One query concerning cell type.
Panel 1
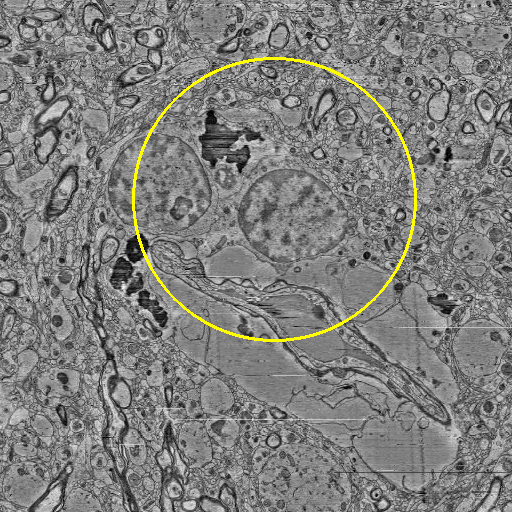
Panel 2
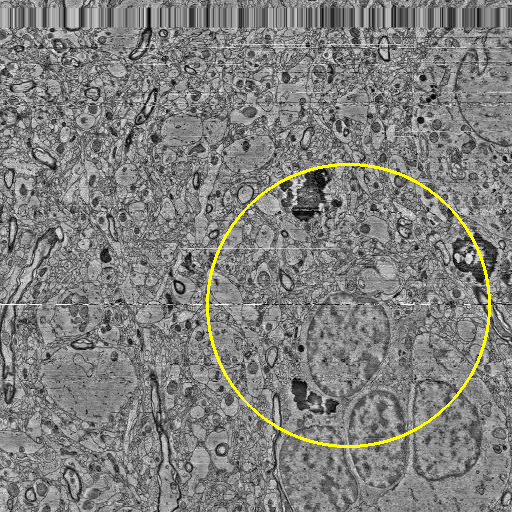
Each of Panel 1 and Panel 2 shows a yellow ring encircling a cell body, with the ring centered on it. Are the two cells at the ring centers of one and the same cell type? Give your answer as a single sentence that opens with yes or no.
Yes, the cell centered in Panel 1 and the one in Panel 2 share a type.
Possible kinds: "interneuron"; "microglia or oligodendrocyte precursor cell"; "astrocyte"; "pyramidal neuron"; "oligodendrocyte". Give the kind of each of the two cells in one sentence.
Both pictures show an oligodendrocyte at the centre of the ring.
